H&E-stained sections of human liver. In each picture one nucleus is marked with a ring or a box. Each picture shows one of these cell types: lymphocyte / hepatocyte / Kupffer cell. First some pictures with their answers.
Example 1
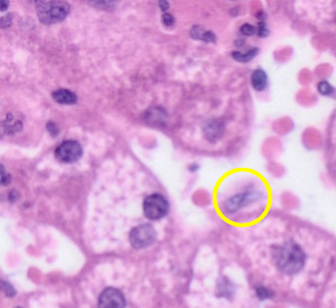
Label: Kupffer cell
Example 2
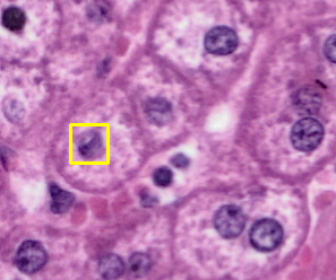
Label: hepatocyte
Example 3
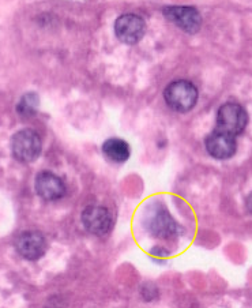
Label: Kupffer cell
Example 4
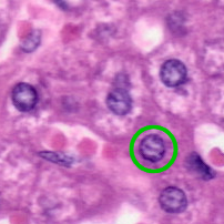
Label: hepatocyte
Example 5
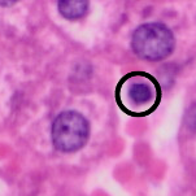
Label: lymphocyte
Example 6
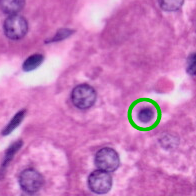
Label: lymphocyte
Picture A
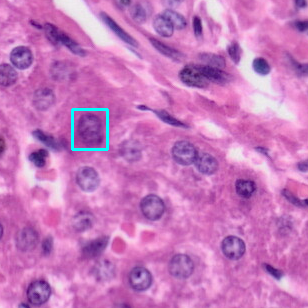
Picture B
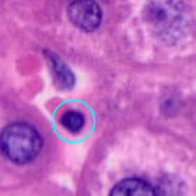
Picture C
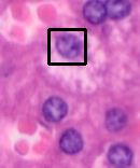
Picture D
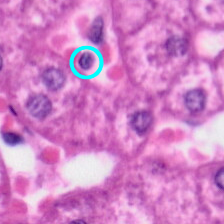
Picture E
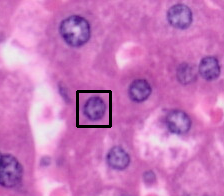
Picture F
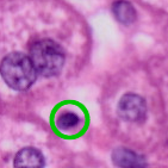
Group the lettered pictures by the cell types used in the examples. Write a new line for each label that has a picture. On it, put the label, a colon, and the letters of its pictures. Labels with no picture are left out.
lymphocyte: B, D, F
hepatocyte: A, C, E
